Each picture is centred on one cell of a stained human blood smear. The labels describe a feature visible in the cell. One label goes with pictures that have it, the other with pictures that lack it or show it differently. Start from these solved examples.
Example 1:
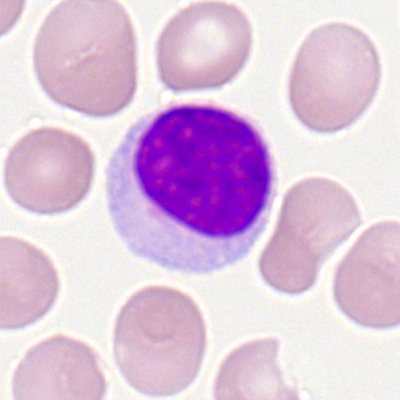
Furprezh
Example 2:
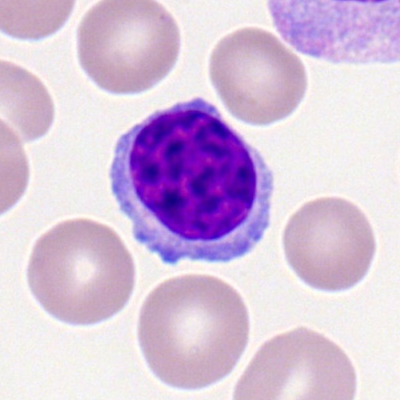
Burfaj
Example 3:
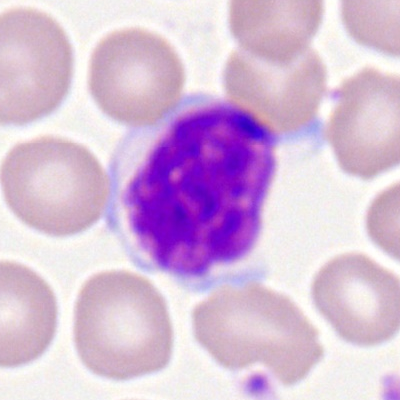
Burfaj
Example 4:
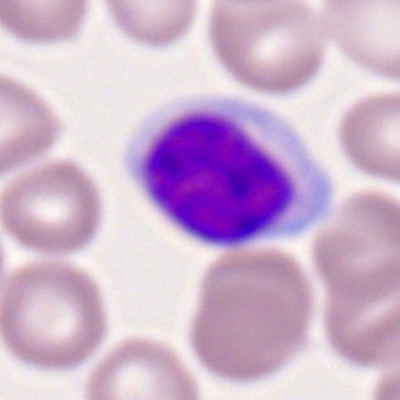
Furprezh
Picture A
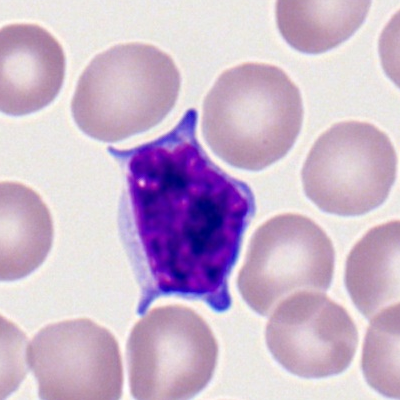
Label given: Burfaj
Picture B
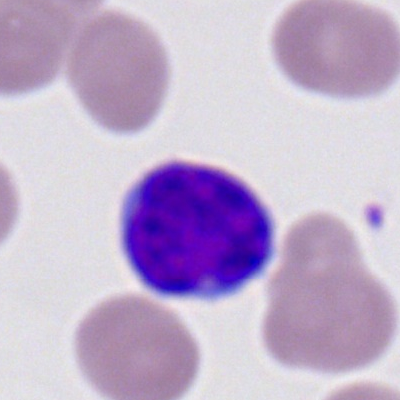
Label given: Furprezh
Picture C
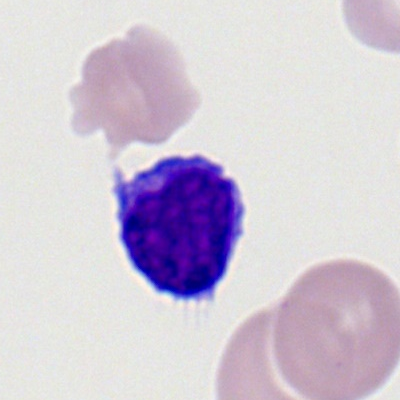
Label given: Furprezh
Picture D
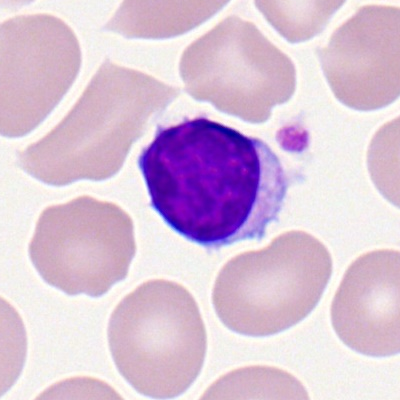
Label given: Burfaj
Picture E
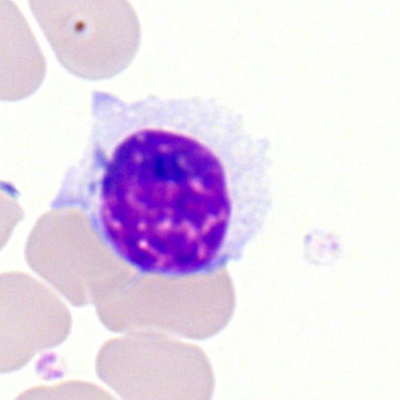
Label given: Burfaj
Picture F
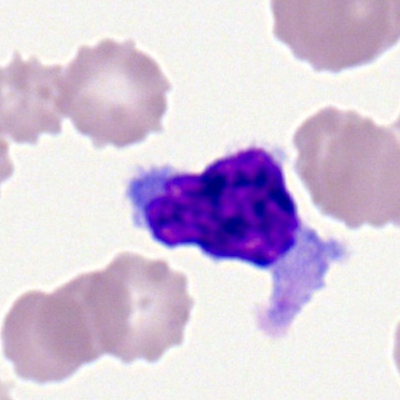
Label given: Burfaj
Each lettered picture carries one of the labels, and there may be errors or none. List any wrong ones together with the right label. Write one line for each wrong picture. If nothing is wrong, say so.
C: Burfaj, not Furprezh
